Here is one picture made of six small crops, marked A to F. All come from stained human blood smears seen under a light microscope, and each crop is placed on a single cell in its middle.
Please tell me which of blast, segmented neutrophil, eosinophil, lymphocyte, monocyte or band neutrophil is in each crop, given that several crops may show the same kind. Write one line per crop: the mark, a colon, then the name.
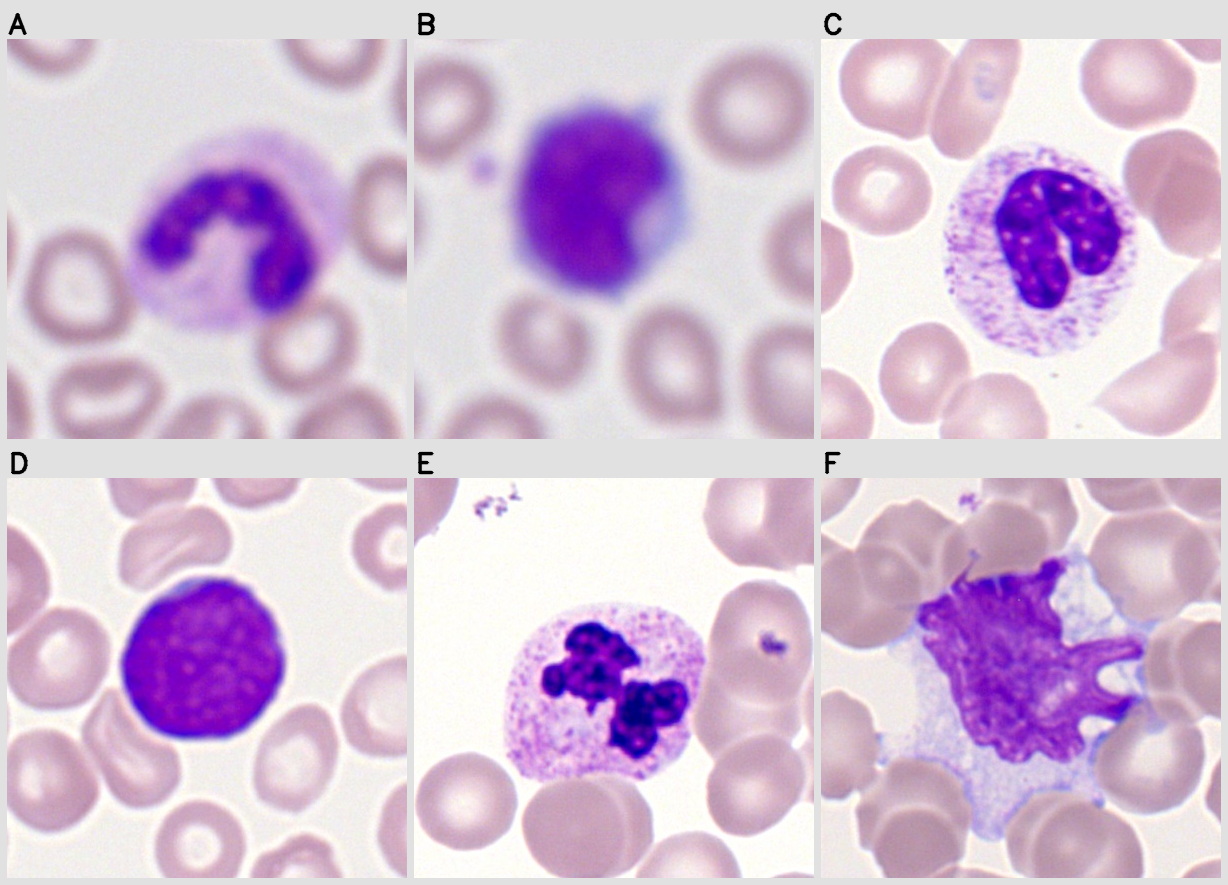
A: band neutrophil
B: lymphocyte
C: band neutrophil
D: blast
E: segmented neutrophil
F: monocyte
